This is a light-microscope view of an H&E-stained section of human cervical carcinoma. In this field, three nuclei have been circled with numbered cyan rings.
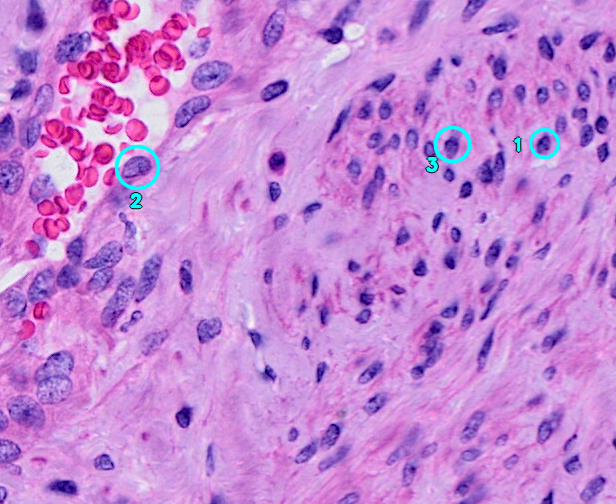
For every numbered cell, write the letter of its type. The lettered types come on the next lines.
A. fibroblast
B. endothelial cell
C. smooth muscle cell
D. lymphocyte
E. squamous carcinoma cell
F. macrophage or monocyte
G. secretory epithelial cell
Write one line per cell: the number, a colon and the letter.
1: C
2: B
3: C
